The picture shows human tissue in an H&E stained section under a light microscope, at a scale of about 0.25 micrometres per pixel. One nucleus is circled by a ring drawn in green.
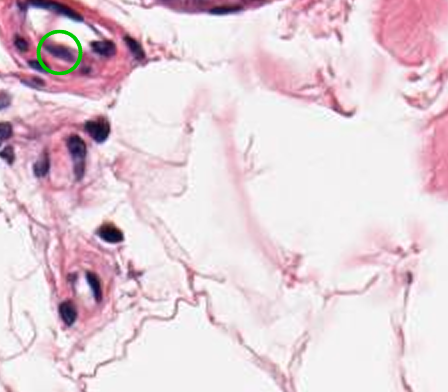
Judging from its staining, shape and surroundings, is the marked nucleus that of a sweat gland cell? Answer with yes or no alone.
no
